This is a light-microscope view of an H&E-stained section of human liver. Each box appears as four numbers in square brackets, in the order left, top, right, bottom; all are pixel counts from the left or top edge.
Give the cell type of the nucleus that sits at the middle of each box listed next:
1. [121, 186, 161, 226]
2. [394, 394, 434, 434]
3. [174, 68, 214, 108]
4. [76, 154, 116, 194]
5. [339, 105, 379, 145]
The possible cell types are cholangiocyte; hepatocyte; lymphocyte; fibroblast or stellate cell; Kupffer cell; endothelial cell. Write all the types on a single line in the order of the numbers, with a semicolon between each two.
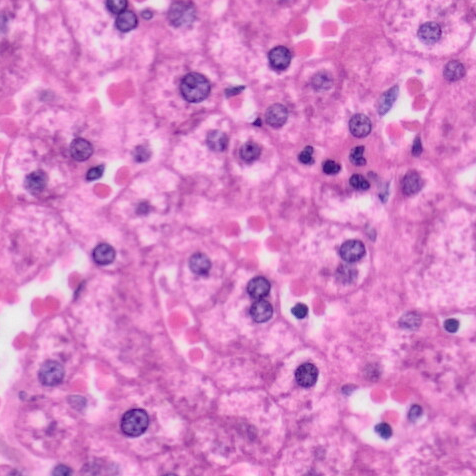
hepatocyte; Kupffer cell; hepatocyte; lymphocyte; hepatocyte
